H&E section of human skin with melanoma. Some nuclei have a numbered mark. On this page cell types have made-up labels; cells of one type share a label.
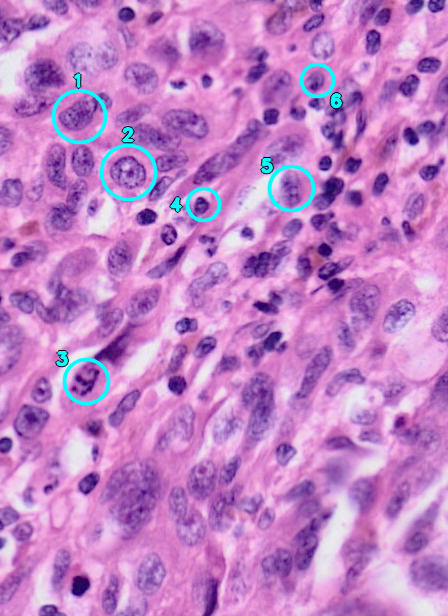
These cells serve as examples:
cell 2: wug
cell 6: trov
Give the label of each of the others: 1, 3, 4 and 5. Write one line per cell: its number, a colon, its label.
1: wug
3: wug
4: trov
5: wug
